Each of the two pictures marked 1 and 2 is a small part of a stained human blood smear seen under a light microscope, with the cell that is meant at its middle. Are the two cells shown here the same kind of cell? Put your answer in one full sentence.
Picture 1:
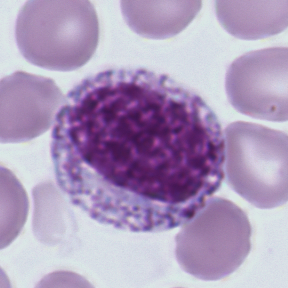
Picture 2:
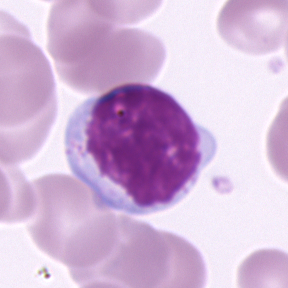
No, picture 1 shows a myelocyte and picture 2 shows a large granular lymphocyte.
